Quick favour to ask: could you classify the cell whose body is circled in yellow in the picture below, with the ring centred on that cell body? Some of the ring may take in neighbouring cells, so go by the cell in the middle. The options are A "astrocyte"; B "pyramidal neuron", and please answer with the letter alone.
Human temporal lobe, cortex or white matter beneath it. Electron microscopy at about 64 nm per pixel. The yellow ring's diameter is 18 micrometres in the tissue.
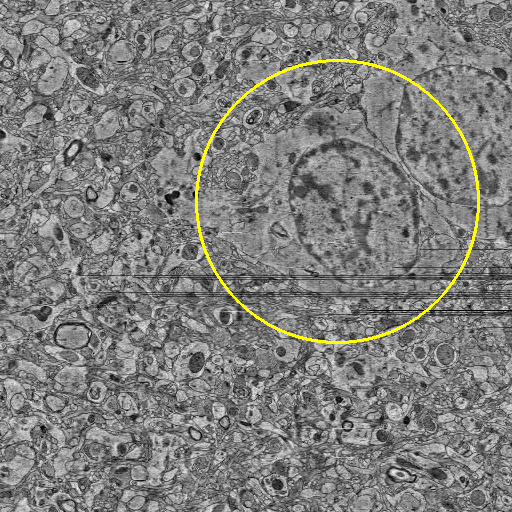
A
